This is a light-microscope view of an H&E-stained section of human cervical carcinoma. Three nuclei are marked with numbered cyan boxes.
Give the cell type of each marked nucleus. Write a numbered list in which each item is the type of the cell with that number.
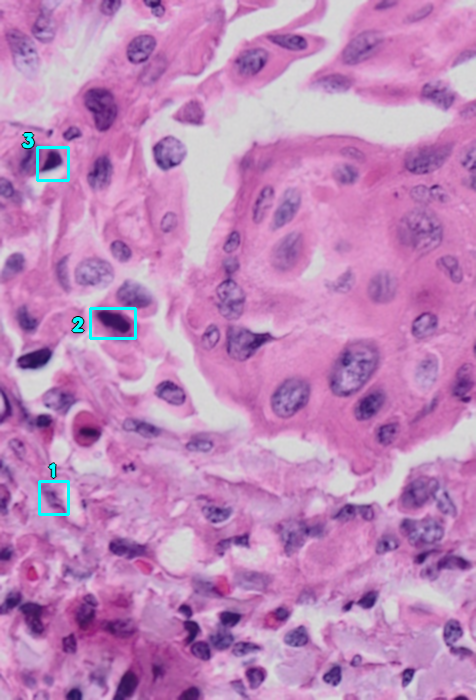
1. fibroblast
2. squamous carcinoma cell
3. squamous carcinoma cell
